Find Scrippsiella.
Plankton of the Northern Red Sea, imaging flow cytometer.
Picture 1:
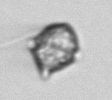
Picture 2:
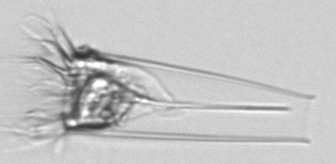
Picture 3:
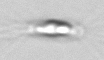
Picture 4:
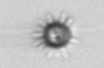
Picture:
1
